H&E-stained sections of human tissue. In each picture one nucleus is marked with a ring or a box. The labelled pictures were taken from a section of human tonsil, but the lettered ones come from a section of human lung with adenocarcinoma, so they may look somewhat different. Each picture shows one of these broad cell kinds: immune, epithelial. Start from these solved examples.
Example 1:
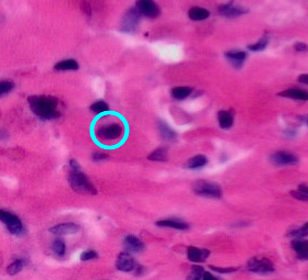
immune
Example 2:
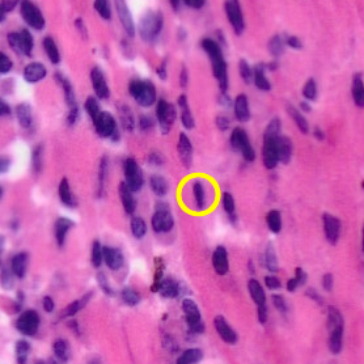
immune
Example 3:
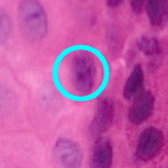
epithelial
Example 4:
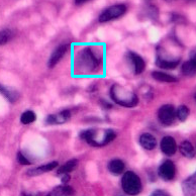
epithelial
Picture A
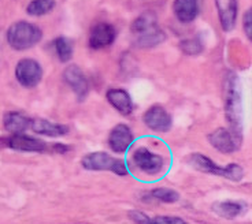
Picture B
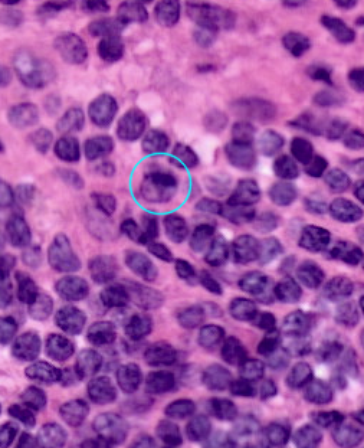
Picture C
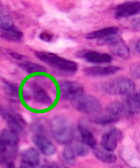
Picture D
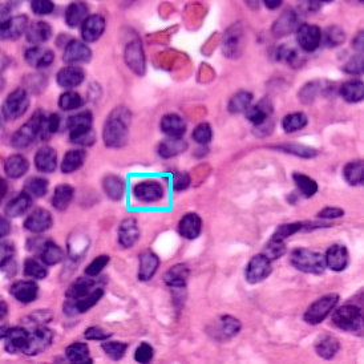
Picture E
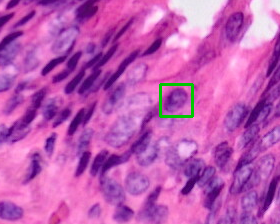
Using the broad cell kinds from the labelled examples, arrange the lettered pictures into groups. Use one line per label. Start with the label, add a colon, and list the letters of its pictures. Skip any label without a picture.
immune: A, B, D
epithelial: C, E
